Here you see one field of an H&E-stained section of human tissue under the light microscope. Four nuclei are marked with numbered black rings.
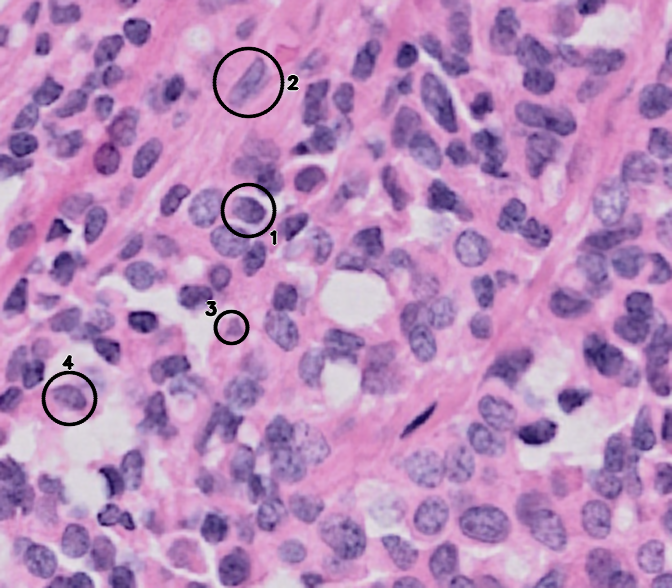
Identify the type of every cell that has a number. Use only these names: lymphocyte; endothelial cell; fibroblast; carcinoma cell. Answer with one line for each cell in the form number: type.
1: carcinoma cell
2: endothelial cell
3: carcinoma cell
4: carcinoma cell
